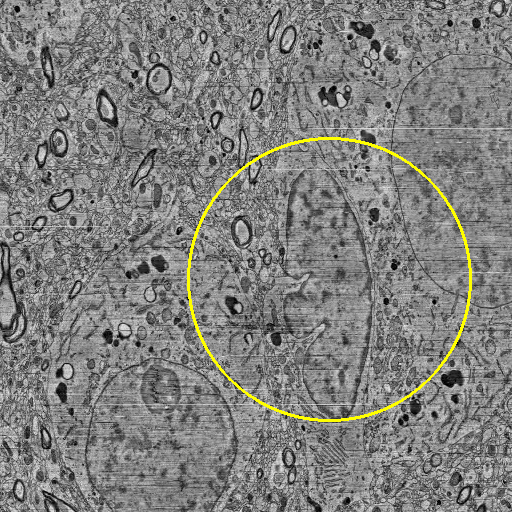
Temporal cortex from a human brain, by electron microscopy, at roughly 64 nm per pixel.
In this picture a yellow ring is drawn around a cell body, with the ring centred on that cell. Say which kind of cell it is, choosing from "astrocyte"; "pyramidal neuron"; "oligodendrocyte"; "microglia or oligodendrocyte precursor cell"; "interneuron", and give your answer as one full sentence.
Here it is a microglial cell or oligodendrocyte precursor cell that sits at the centre of the drawn yellow ring.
